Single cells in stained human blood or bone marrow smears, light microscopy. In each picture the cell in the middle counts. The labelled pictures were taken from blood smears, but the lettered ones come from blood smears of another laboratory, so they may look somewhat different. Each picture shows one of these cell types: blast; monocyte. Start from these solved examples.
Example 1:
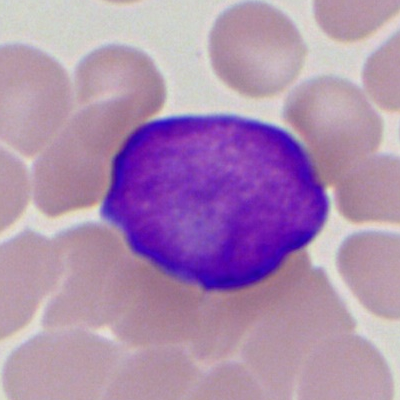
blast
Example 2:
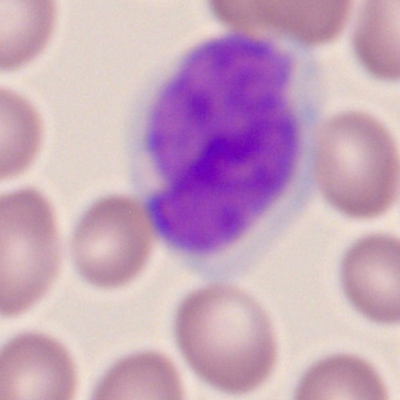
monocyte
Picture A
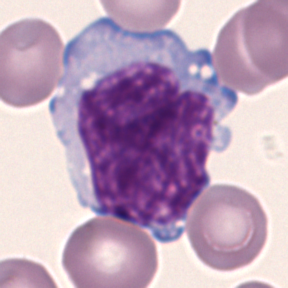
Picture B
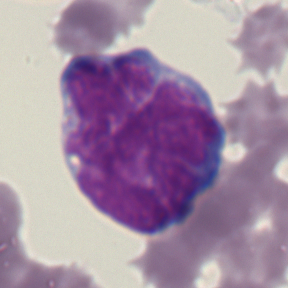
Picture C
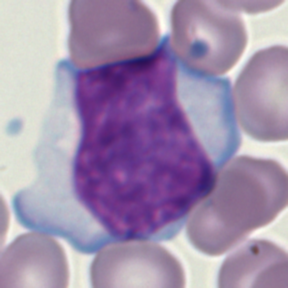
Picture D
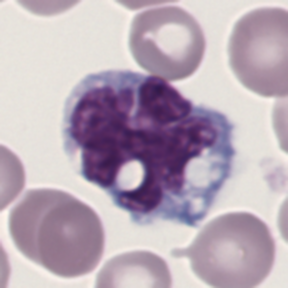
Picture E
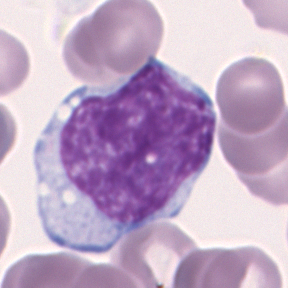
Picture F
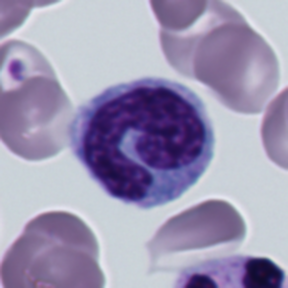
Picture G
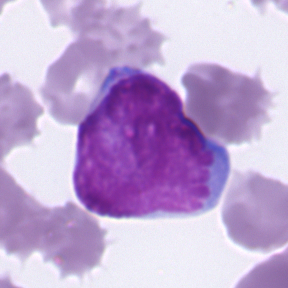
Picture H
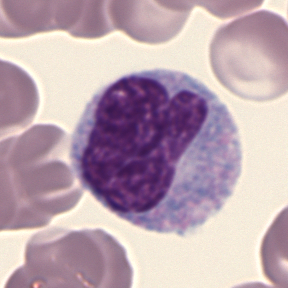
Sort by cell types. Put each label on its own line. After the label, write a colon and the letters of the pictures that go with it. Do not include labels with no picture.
blast: A, B, C, E, G
monocyte: D, F, H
